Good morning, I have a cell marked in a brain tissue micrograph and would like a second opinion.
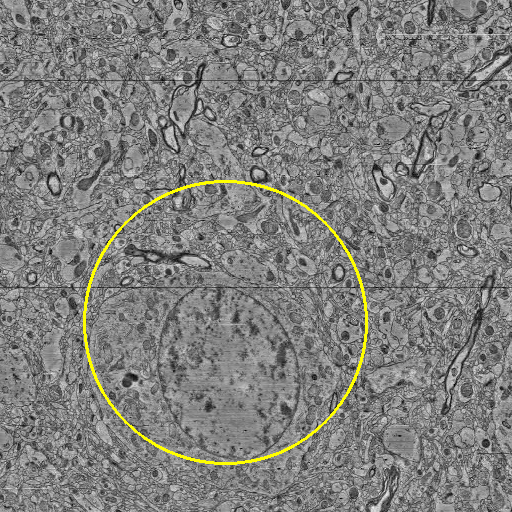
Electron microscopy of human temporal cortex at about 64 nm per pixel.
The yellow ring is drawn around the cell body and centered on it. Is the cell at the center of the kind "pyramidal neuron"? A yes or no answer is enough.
no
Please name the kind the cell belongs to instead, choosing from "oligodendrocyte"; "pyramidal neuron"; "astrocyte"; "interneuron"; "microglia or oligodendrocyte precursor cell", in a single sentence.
Instead, the cell inside the ring is an interneuron.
